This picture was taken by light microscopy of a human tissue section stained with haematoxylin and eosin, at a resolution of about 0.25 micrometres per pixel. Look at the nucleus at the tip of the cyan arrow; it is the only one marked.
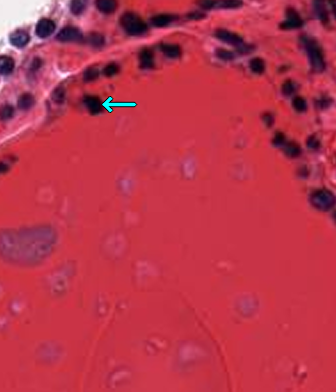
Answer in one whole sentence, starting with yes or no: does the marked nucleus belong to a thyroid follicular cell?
Yes, a thyroid follicular cell is the cell to which the marked nucleus belongs.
